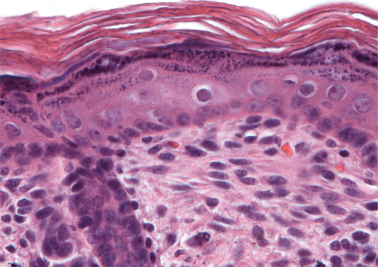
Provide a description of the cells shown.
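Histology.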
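A stratified epithelium is topped by loose, wavy pink lamellae of flattened cornified cells, beneath which lies a thin band of cells with dark purple granules. Below these are larger rounded cells with pale cytoplasm and round nuclei, then a basal row of smaller, darker cells resting on a loose connective tissue containing spindle-shaped cells and a few red blood cells. This is skin, with stratum corneum, stratum granulosum, stratum spinosum and stratum basale above the dermis.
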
